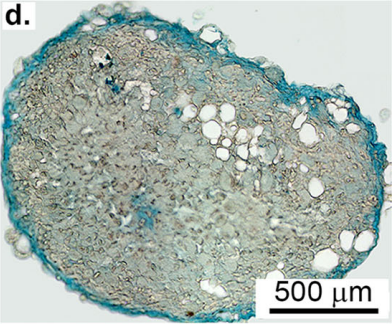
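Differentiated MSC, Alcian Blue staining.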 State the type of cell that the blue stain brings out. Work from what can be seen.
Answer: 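A rounded compact mass of densely packed cells is shown in section. Blue stain is strongest along the rim of the mass. On this evidence: chondroblasts.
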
